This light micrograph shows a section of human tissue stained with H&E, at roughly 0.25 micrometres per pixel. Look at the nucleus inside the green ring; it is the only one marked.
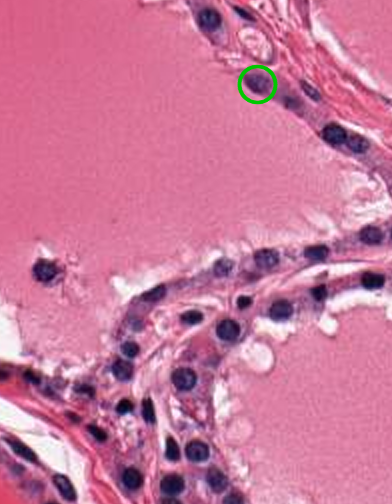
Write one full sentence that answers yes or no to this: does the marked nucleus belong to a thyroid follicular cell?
Yes, the marked nucleus is housed in a thyroid follicular cell.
